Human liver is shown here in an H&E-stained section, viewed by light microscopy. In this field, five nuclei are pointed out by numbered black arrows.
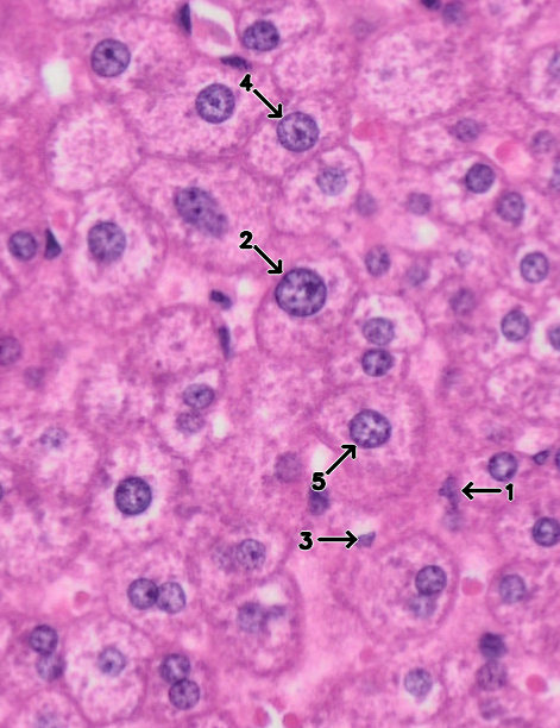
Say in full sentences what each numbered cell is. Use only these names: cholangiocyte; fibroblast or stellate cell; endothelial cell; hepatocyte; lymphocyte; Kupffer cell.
Cell 1 is an endothelial cell, cell 2 is a hepatocyte, cell 3 is an endothelial cell, cell 4 is a hepatocyte and cell 5 is a hepatocyte.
